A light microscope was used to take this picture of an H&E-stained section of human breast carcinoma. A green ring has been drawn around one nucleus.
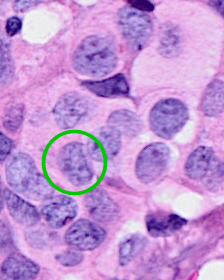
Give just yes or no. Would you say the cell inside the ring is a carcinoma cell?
yes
